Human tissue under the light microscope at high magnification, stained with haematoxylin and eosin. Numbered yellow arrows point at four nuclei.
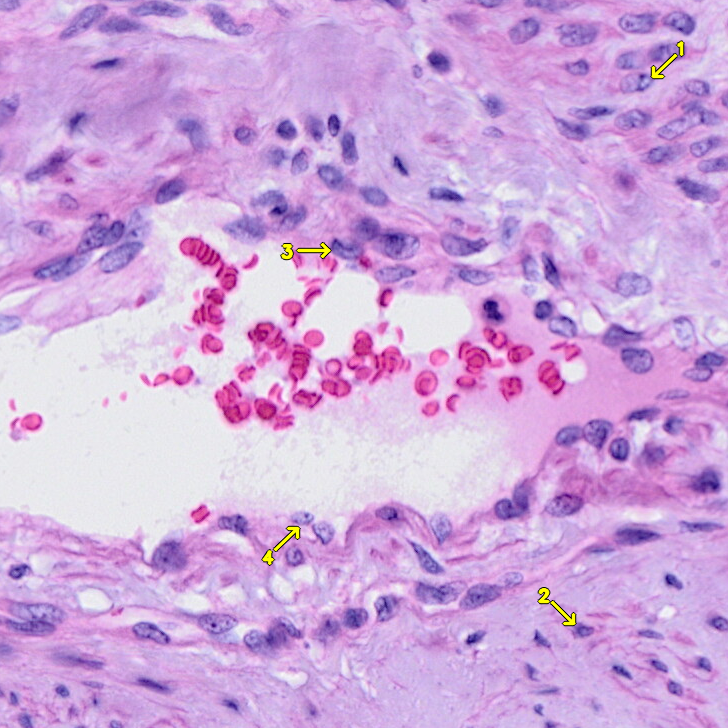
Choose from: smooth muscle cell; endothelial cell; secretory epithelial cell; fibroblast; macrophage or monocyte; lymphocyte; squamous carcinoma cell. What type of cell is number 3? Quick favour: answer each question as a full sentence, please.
The cell indicated with the number 3 is classed as an endothelial cell.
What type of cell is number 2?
The label 2 in this section denotes a smooth muscle cell.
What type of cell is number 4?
In this section, number 4 marks an endothelial cell.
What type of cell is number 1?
The cell pointed out as number 1 is a smooth muscle cell.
